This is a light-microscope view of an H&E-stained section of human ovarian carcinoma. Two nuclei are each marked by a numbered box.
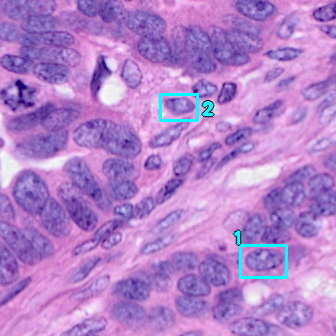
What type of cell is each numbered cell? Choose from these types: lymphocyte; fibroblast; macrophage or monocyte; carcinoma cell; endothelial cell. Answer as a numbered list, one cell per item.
1. carcinoma cell
2. fibroblast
